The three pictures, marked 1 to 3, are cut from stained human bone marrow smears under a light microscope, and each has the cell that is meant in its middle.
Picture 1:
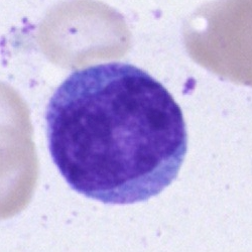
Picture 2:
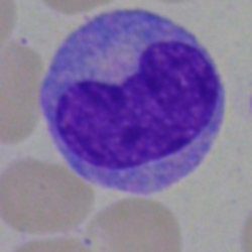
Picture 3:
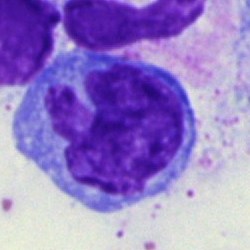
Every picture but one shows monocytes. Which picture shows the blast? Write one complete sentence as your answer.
Picture 1 shows the blast.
